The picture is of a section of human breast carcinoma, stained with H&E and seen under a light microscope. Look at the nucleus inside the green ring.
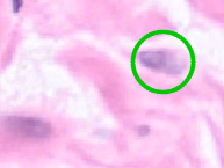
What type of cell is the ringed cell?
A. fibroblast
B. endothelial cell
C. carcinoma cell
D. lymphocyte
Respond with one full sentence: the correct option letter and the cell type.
In short, option A: the ringed cell is a fibroblast.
